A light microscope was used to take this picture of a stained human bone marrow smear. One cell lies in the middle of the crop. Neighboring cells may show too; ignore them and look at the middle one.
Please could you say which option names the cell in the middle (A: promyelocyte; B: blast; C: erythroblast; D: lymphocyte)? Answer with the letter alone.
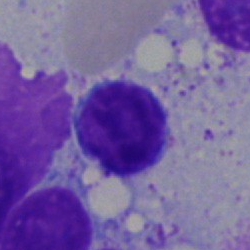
D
